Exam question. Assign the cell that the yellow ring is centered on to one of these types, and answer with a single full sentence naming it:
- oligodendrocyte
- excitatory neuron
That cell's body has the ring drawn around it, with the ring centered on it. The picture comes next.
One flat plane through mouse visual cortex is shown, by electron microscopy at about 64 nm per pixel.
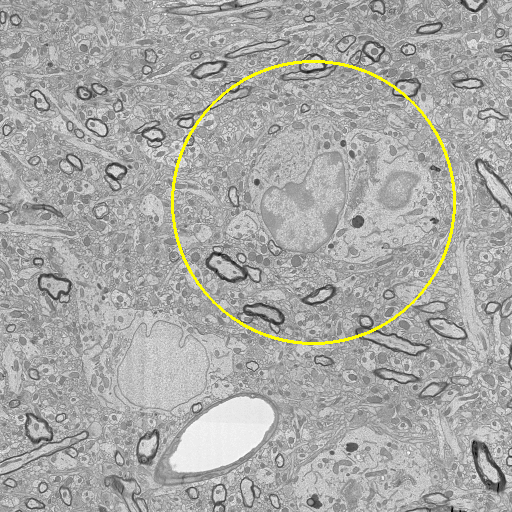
In the micrograph, the cell the yellow ring is centered on is an oligodendrocyte.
